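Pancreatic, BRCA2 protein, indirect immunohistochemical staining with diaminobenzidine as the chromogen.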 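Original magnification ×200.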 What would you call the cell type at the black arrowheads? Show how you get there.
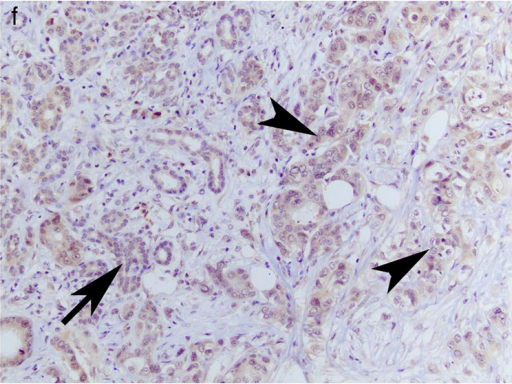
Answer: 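The arrowheads point to irregular glands of enlarged cells with large nuclei. The marked glands carry brown nuclear stain. That points to this answer: ductal carcinoma.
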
